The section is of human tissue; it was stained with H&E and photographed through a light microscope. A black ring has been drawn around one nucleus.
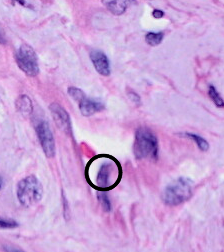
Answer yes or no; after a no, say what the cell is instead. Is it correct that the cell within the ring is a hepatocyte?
No, it is an endothelial cell.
